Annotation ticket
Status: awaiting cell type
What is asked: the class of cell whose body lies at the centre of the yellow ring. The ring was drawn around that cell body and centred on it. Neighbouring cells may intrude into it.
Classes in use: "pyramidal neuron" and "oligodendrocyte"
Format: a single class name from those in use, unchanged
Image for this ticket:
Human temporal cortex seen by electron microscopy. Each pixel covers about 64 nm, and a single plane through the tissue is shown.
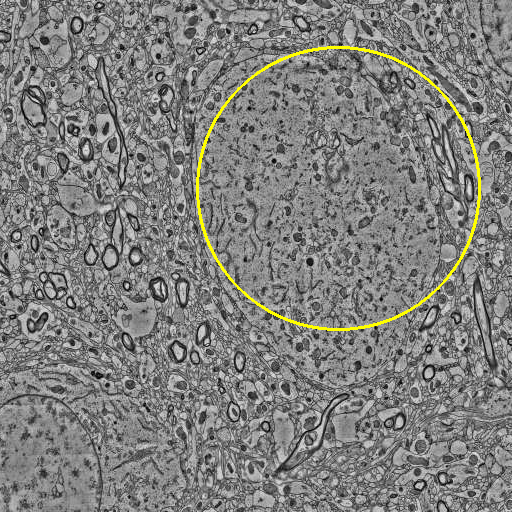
pyramidal neuron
